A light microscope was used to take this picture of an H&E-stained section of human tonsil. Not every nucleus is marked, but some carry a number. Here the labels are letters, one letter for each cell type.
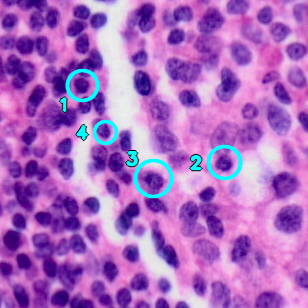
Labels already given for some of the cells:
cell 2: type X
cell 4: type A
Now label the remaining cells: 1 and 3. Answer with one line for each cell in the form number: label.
1: type A
3: type X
